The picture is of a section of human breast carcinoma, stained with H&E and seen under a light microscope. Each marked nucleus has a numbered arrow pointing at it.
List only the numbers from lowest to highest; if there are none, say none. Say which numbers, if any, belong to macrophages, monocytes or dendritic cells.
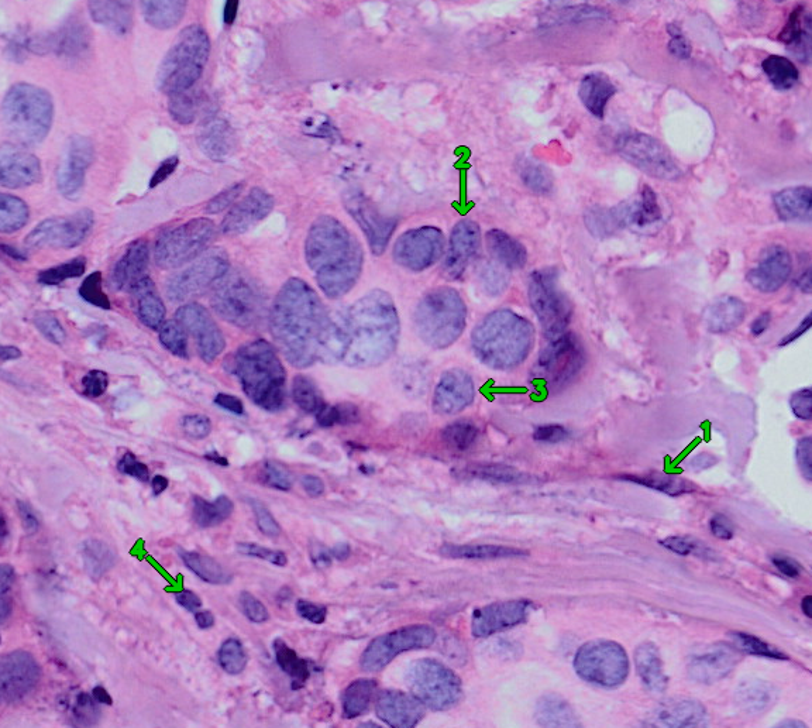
none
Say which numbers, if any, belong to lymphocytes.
4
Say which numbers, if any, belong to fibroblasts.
1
